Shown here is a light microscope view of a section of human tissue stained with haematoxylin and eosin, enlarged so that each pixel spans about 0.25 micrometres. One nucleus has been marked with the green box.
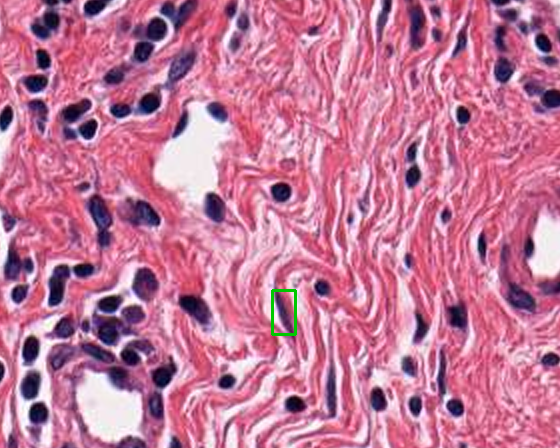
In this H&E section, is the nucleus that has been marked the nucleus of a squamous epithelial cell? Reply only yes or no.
no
